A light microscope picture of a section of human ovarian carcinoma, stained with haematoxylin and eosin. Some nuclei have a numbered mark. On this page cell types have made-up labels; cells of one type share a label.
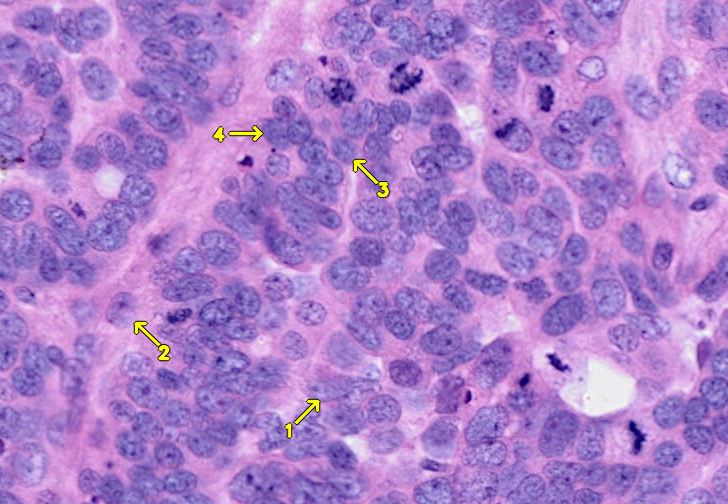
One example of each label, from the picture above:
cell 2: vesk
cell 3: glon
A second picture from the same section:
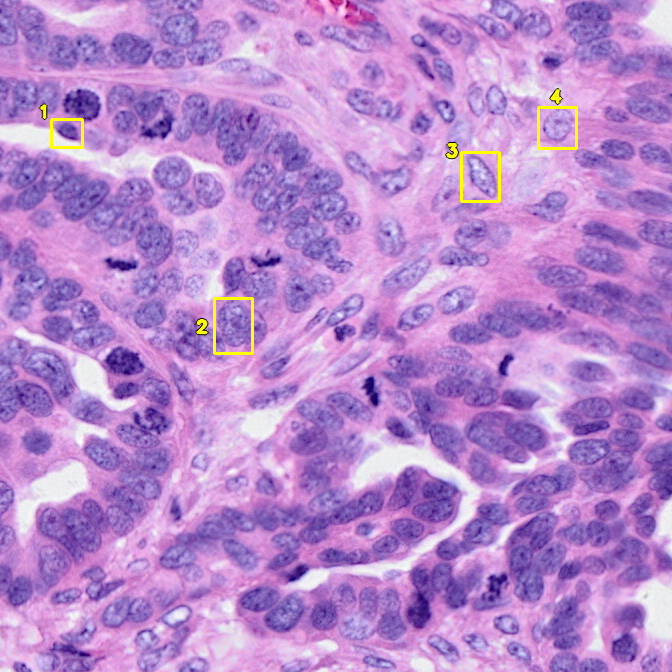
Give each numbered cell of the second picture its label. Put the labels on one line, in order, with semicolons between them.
glon; glon; vesk; vesk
